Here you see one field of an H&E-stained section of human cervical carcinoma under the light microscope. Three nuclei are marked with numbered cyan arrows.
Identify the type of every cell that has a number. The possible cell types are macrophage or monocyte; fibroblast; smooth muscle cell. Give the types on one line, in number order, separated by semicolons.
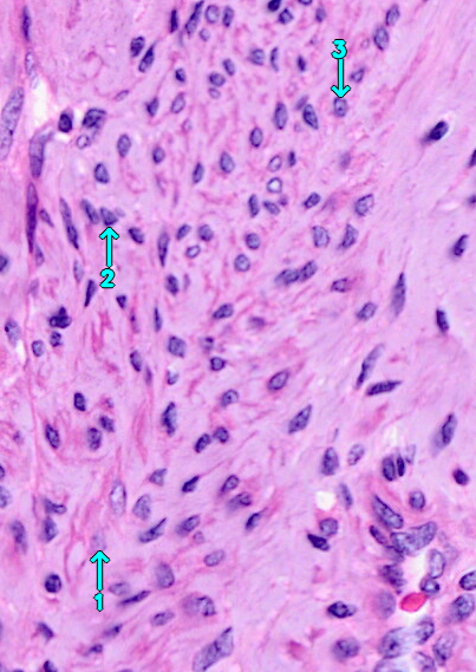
smooth muscle cell; fibroblast; smooth muscle cell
